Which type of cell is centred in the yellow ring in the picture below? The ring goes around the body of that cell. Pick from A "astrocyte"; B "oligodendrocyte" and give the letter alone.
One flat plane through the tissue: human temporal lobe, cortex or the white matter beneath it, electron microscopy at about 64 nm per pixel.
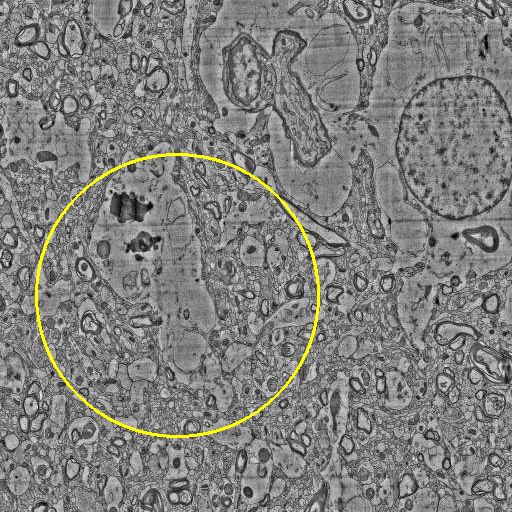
A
